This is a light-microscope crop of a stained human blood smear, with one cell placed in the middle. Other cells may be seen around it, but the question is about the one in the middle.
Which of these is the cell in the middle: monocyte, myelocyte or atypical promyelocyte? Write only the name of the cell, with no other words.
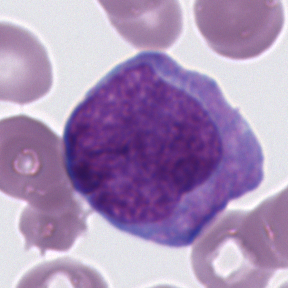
atypical promyelocyte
